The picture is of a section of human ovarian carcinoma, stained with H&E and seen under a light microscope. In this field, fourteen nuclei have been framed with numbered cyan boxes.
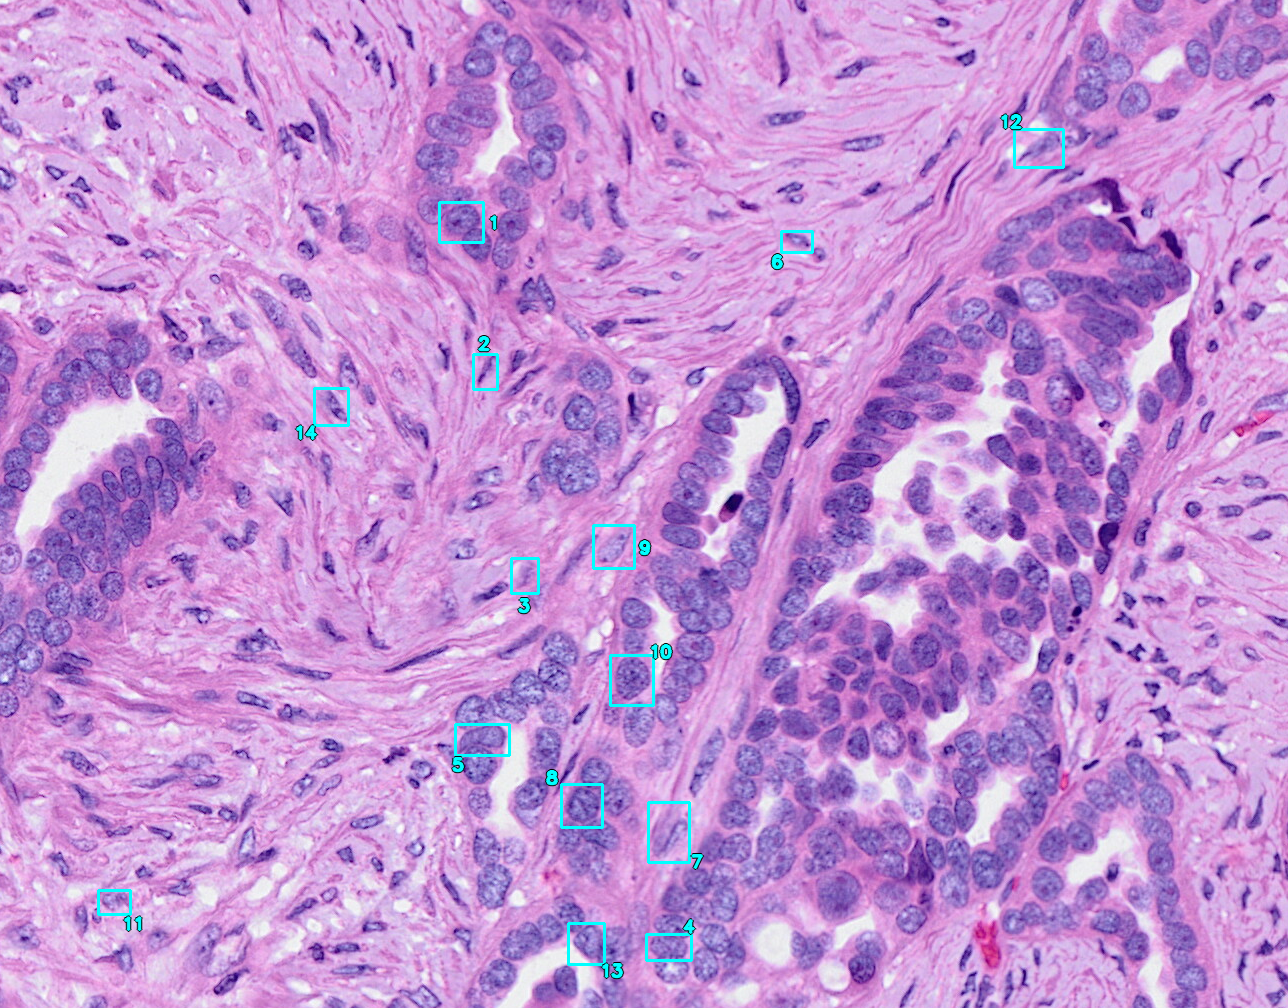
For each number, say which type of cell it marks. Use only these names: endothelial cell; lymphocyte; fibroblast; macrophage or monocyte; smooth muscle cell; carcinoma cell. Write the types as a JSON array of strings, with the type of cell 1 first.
["carcinoma cell", "fibroblast", "fibroblast", "carcinoma cell", "carcinoma cell", "fibroblast", "fibroblast", "carcinoma cell", "fibroblast", "carcinoma cell", "fibroblast", "fibroblast", "carcinoma cell", "fibroblast"]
